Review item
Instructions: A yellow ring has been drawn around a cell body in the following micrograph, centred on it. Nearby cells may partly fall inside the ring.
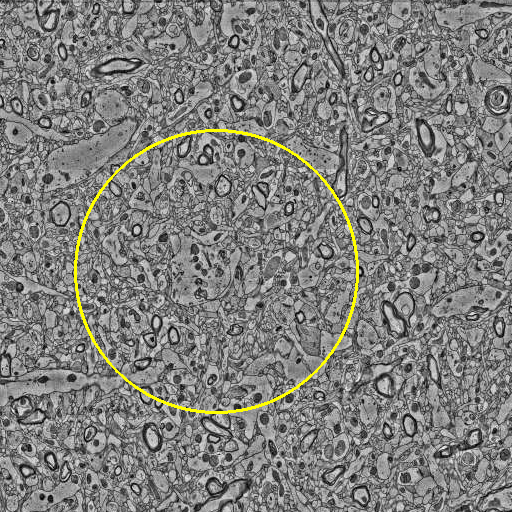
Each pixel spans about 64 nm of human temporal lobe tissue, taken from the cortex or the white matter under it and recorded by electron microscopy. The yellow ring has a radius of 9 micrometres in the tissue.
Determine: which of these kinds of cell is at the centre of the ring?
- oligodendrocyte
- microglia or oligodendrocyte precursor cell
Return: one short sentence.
The cell body in the middle of the ring is that of an oligodendrocyte.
